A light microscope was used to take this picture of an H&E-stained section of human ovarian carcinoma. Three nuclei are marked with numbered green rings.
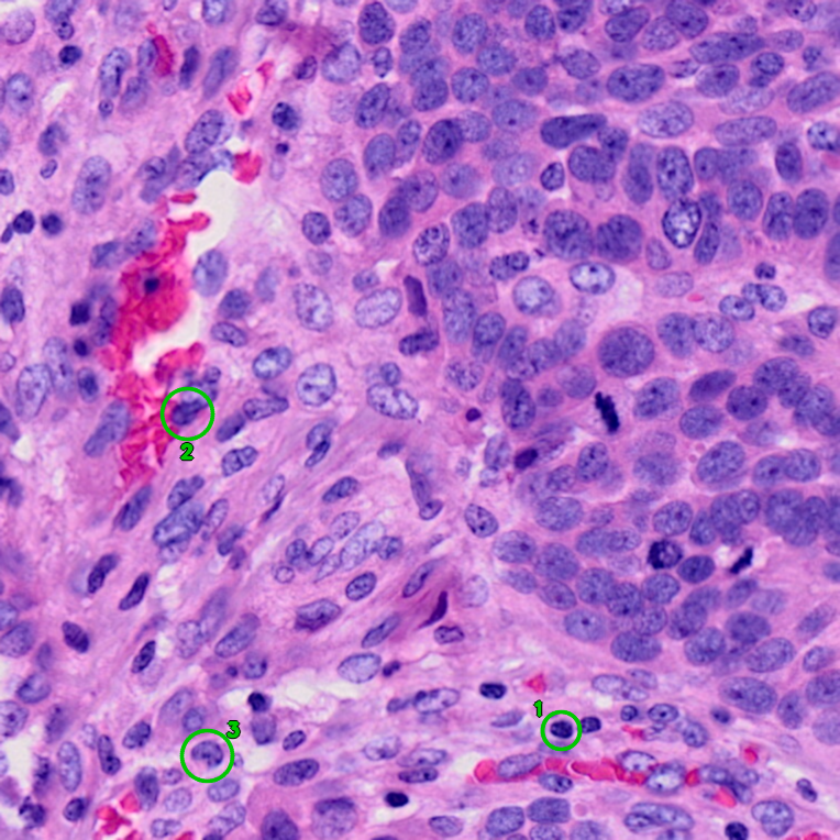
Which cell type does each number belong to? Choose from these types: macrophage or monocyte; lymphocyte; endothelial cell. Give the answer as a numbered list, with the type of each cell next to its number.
1. lymphocyte
2. endothelial cell
3. macrophage or monocyte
